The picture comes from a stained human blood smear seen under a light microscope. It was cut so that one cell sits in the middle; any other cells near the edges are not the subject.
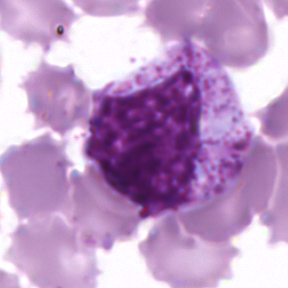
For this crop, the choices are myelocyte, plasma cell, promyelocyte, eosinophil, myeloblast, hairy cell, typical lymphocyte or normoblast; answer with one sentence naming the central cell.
The cell at the centre of the field is a myelocyte.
